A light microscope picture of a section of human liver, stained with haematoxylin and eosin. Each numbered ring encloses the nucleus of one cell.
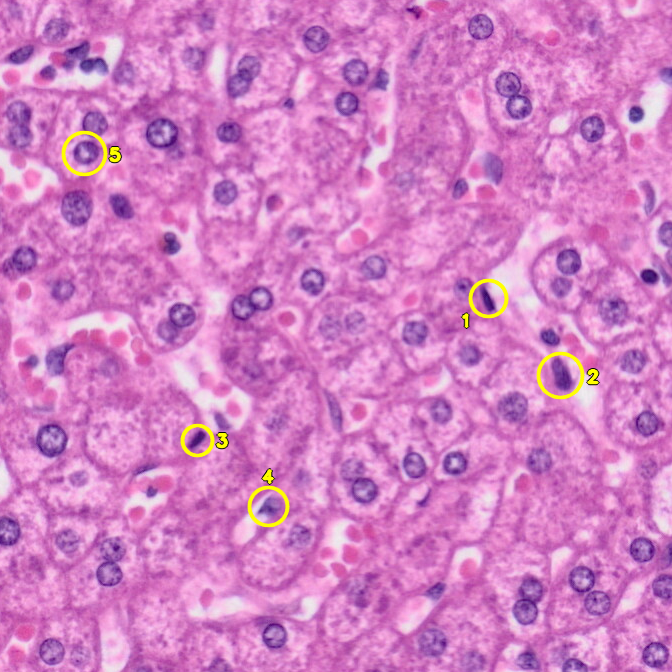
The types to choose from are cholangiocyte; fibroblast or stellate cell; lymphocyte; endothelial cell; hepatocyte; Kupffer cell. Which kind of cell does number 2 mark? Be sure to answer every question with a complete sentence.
It is as a Kupffer cell that the cell numbered 2 is identified.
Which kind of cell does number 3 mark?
In this section, the cell tagged 3 is a fibroblast or stellate cell.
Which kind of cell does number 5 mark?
The label 5 in this section denotes a hepatocyte.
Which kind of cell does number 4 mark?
Regarding cell 4, this one is an endothelial cell.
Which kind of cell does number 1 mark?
At number 1, the marked cell is a fibroblast or stellate cell.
